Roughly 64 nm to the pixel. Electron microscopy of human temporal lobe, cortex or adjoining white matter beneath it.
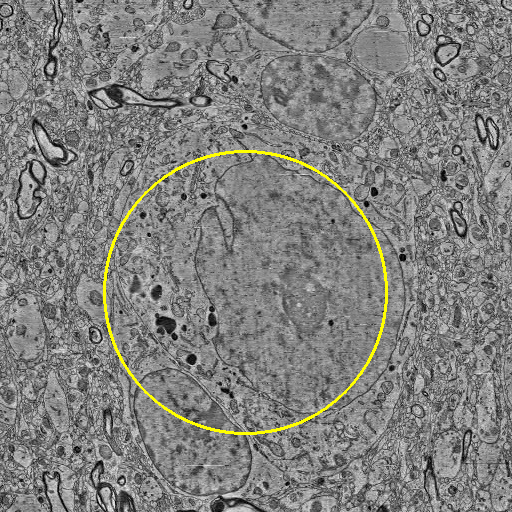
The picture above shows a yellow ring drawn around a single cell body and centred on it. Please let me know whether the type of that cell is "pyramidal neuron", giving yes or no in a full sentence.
Yes, that type fits the cell at the centre of the ring above.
